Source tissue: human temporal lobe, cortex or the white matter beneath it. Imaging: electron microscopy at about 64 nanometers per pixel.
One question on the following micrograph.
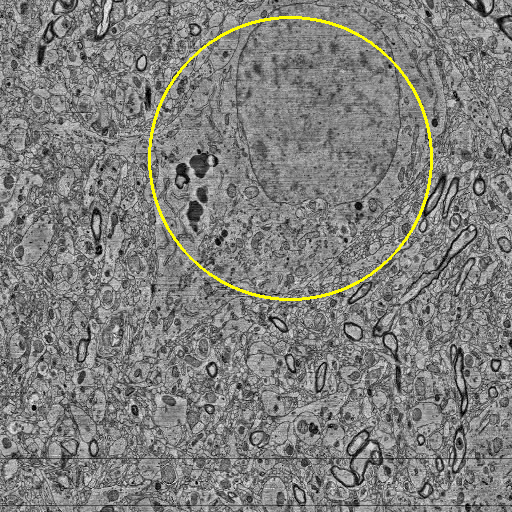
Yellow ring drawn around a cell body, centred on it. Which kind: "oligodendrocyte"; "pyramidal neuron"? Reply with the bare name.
pyramidal neuron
